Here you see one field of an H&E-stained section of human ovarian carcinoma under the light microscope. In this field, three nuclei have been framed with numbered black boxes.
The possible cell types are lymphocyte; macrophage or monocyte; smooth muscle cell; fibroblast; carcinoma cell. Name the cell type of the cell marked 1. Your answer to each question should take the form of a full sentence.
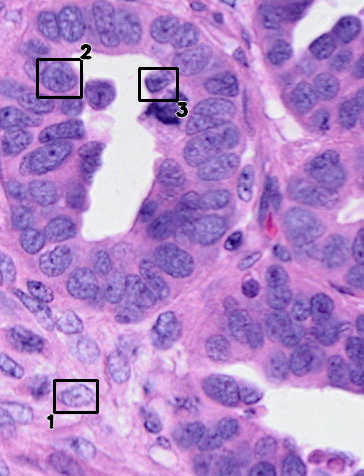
The correct label for cell 1 is a fibroblast.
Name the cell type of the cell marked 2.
Within this field of view, the cell labelled 2 is a carcinoma cell.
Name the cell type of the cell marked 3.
The cell that is numbered 3 is a carcinoma cell.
